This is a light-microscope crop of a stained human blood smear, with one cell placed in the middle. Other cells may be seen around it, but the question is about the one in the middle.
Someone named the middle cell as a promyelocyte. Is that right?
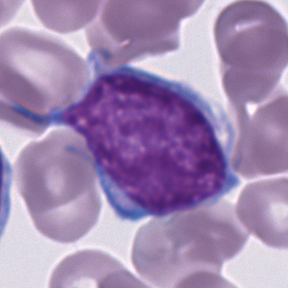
no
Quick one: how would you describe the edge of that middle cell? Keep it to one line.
Projections or ragged segments give this cell an irregular rather than smooth border.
